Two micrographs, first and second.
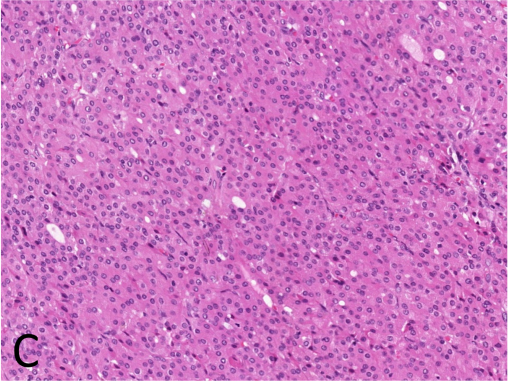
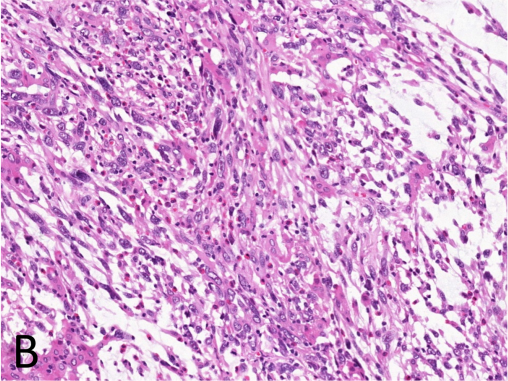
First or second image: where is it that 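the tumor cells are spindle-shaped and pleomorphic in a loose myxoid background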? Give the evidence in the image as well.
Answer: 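First image: uniform round-to-polygonal cells in compact sheets with small lumina. Second image: elongated, irregular cells with variable nuclei set in pale, loose stroma.
Hence: the second image.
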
